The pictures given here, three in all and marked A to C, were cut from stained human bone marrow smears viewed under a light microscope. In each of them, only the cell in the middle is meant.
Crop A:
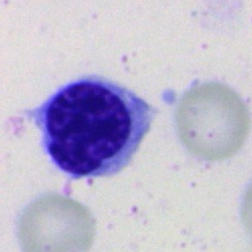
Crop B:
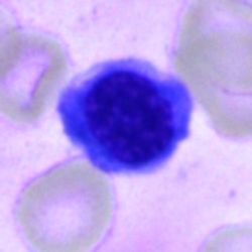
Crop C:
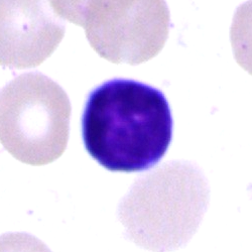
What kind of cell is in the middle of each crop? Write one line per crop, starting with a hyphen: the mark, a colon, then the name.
- A: normoblast
- B: normoblast
- C: lymphocyte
